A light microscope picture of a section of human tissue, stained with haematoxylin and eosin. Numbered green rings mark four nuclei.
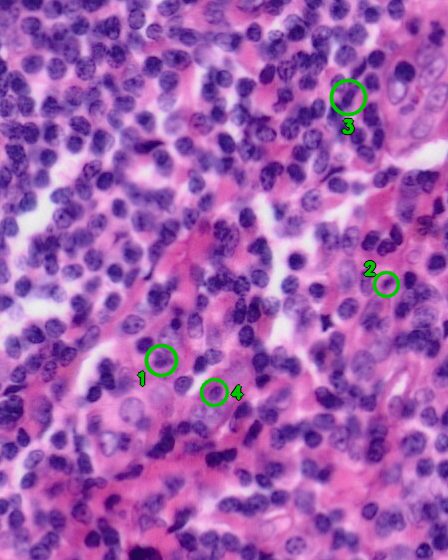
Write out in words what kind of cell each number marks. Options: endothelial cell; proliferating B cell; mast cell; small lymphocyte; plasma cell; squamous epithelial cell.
Cell 1 is an endothelial cell, cell 2 is an endothelial cell, cell 3 is a small lymphocyte and cell 4 is an endothelial cell.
